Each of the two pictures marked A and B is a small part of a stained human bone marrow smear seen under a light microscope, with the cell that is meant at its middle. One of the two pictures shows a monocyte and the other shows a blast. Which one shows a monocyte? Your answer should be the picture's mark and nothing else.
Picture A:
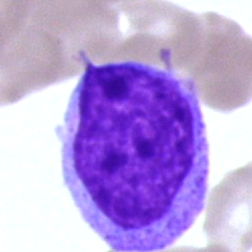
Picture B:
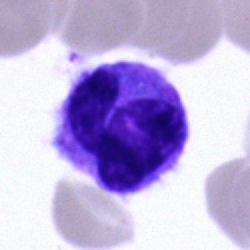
B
